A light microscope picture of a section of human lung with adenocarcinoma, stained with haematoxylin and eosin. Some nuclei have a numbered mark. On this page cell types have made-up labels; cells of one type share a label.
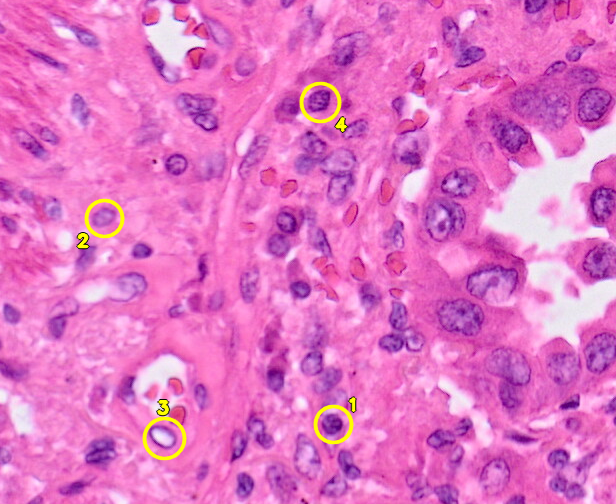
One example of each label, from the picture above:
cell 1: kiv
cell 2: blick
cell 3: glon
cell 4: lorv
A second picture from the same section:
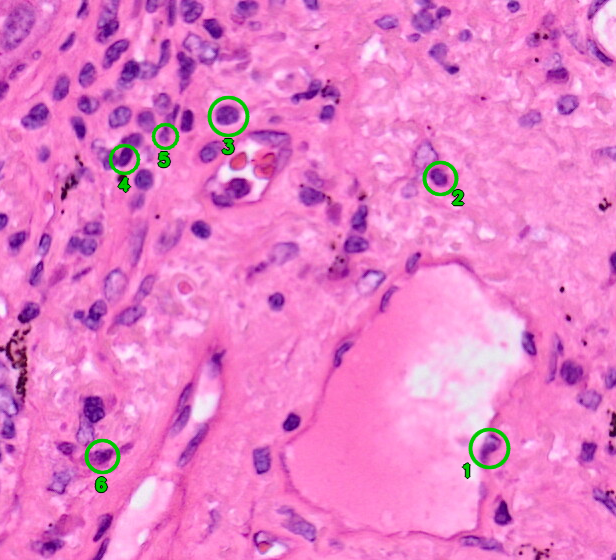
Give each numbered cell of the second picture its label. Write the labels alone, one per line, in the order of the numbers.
glon
blick
kiv
kiv
kiv
lorv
